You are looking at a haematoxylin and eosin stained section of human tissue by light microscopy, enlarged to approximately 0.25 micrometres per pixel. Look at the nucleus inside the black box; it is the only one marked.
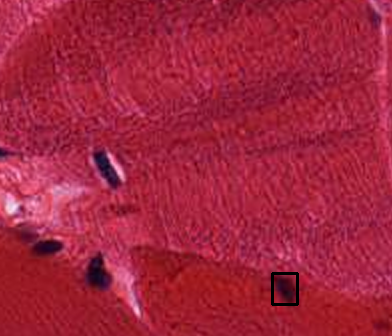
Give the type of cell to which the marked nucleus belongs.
skeletal muscle fibre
